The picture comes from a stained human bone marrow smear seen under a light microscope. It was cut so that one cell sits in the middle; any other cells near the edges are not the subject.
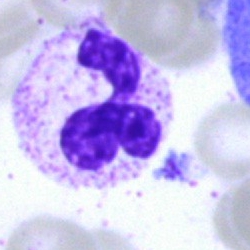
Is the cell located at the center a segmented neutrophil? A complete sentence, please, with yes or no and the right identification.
Yes, the identification of the central cell as a segmented neutrophil is correct.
